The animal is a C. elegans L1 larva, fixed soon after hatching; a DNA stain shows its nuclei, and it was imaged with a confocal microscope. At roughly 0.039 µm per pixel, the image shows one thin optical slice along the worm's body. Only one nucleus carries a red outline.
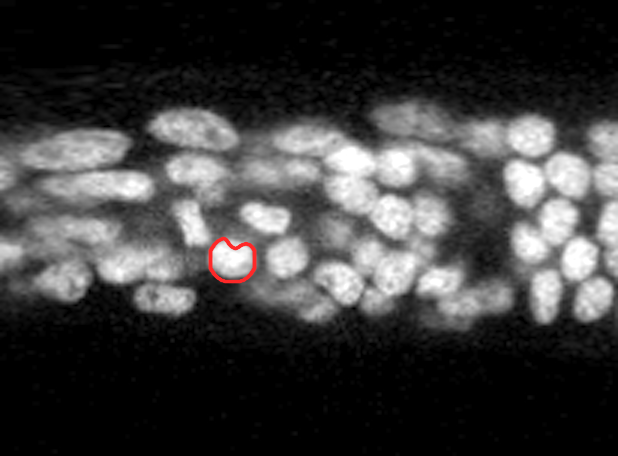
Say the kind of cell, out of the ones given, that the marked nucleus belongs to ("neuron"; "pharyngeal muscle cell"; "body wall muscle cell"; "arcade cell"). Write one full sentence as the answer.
The cell with the marked nucleus is a neuron.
